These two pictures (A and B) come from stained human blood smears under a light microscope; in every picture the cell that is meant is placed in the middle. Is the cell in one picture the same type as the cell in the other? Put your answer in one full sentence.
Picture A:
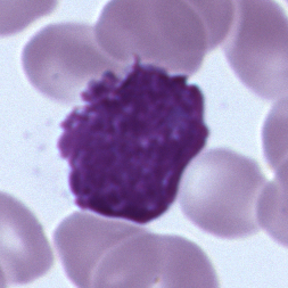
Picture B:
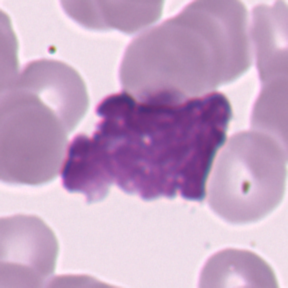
Yes, both are smudge cells.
